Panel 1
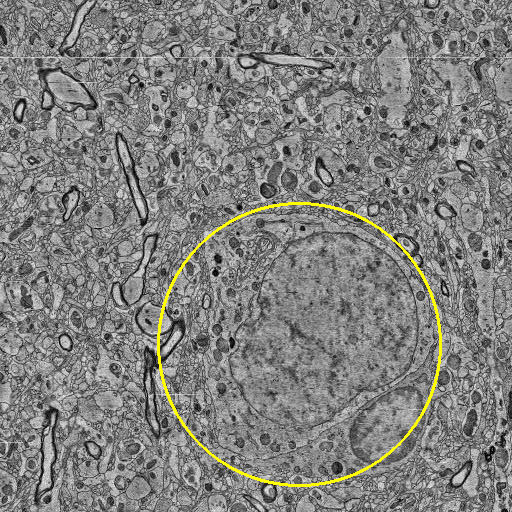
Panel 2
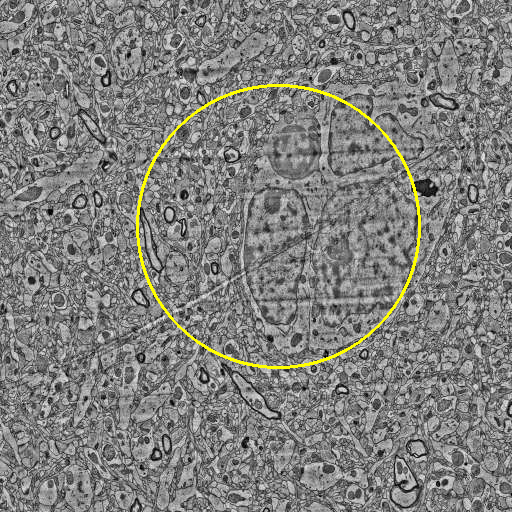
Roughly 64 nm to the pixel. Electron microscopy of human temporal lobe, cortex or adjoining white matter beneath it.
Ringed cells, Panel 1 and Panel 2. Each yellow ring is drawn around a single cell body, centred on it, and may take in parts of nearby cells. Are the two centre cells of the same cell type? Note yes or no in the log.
no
